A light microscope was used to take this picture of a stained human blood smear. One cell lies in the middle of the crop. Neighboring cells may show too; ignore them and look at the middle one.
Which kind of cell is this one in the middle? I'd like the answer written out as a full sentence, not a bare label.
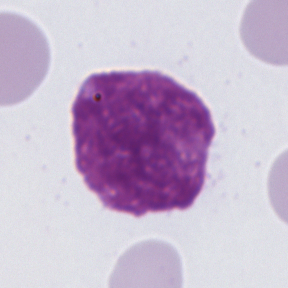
In short, the cell at the center is a smudge cell.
